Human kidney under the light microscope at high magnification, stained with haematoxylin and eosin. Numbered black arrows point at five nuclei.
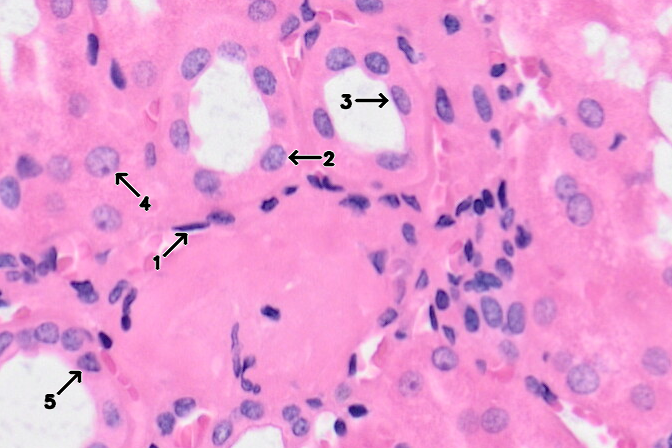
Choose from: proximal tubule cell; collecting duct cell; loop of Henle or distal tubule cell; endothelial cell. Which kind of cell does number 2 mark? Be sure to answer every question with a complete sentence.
The mark numbered 2 indicates the nucleus of a loop of Henle or distal tubule cell.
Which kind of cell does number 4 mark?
The marked nucleus 4 is that of a proximal tubule cell.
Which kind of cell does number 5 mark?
The cell referred to as 5 is a collecting duct cell.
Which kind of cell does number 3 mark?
As for number 3, that cell is a loop of Henle or distal tubule cell.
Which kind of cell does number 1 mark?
Looking at the numbered marks, cell 1 is an endothelial cell.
